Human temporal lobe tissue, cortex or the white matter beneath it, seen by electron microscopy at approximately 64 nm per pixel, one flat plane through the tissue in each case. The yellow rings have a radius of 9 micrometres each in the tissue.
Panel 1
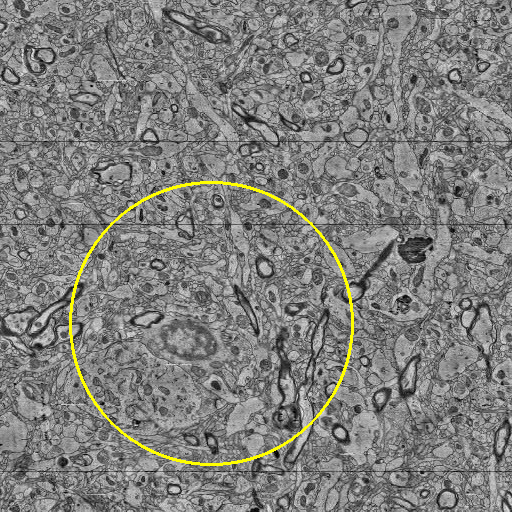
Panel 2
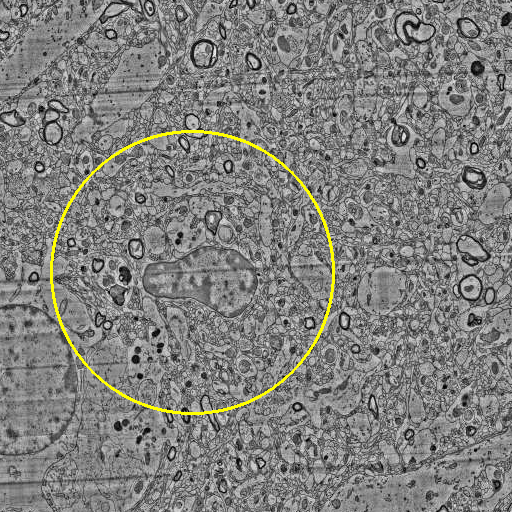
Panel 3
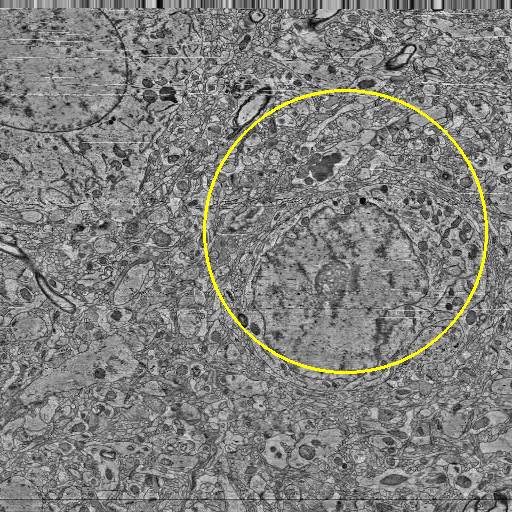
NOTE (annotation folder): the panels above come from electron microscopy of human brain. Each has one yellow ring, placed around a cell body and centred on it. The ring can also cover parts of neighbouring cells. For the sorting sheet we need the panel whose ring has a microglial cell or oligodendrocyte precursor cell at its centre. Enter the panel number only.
2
